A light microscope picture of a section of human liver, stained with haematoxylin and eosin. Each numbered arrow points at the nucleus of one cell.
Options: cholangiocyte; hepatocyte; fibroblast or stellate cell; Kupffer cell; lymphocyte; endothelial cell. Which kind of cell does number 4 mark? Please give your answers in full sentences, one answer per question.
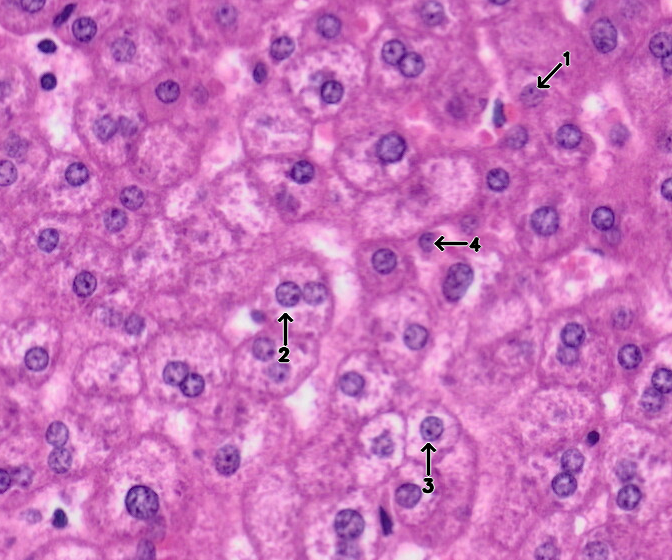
The cell referred to as 4 is a Kupffer cell.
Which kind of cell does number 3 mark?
The nucleus with number 3 is that of a hepatocyte.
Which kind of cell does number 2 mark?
Cell 2 should be recorded as a hepatocyte.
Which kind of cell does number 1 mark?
The nucleus labelled 1 belongs to a hepatocyte.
